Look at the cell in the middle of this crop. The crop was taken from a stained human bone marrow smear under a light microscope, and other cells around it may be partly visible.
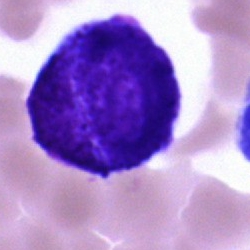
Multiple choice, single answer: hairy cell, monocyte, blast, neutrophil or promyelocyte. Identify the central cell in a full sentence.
In this crop, the cell at the very middle is a blast.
